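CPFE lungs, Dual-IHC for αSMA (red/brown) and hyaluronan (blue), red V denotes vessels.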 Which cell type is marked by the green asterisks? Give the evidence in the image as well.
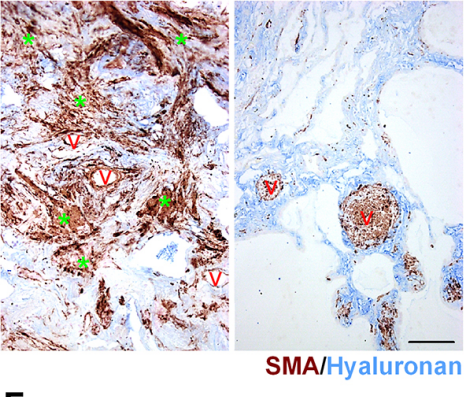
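The asterisks sit on dense brown-stained spindle-shaped cells and bundles. These brown bundles fill the interstitium away from the vessel walls. Blue matrix lies between the brown bundles. So: myofibroblasts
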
